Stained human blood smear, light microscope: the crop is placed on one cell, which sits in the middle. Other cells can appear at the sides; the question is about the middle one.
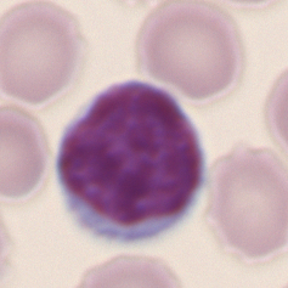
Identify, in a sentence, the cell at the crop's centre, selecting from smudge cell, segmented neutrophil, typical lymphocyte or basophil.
The cell in the exact centre of the crop is a typical lymphocyte.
